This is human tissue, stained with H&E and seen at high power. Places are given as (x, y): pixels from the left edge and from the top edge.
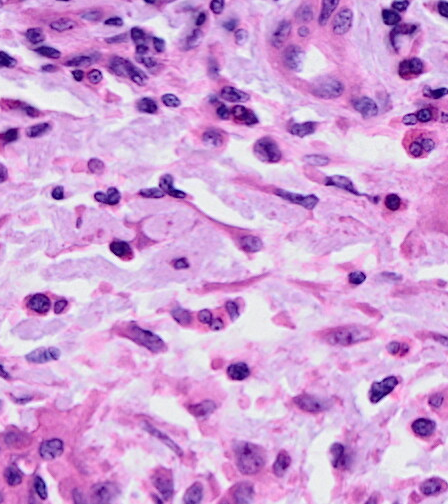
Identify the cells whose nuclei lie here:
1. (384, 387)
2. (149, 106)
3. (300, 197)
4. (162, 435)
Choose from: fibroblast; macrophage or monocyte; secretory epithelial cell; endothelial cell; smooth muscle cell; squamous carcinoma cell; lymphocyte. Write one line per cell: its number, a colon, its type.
1: lymphocyte
2: lymphocyte
3: fibroblast
4: fibroblast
